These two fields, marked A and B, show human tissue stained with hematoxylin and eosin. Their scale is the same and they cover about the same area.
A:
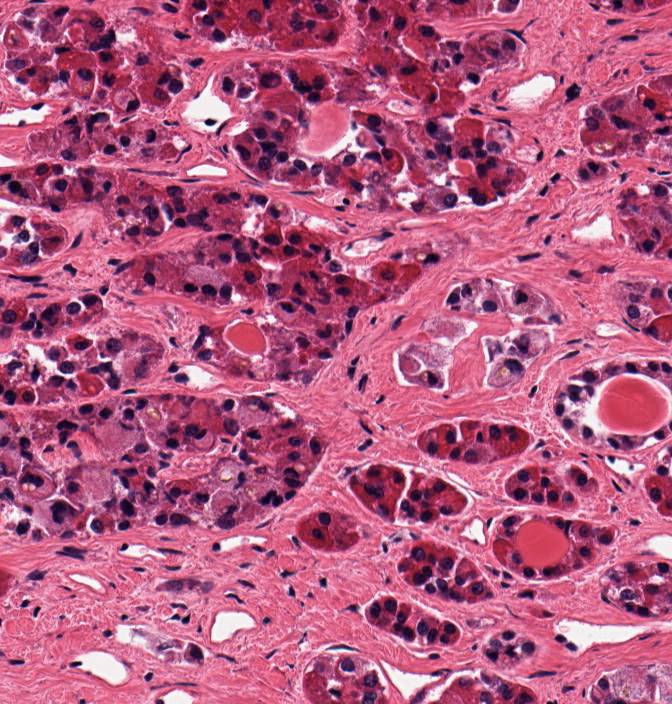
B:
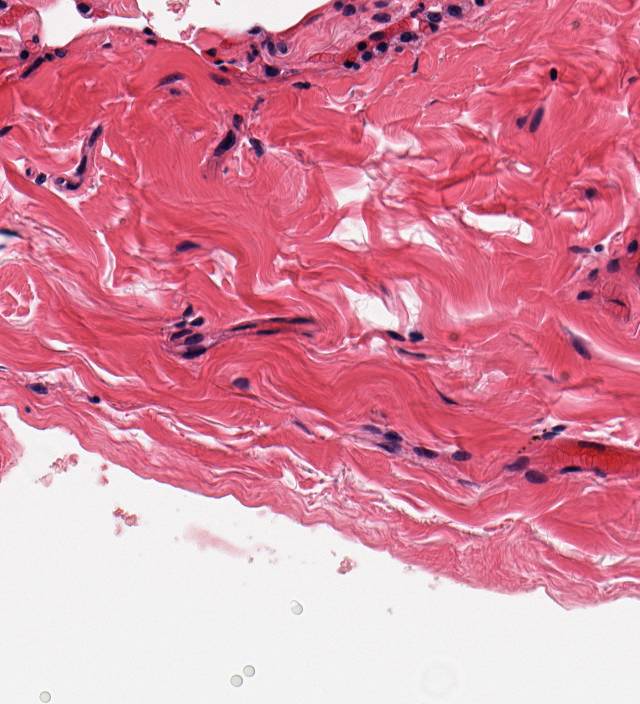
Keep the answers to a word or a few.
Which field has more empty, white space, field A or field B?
B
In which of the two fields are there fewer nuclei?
B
